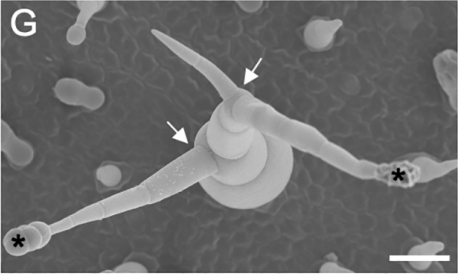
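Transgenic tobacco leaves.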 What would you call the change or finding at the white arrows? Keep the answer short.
Abnormal branching.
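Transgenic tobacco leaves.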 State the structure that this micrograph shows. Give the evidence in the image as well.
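Multicellular hairs on a leaf surface with several arms from one base. Smaller unbranched hairs with rounded heads lie around it. On this evidence: branched trichomes.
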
